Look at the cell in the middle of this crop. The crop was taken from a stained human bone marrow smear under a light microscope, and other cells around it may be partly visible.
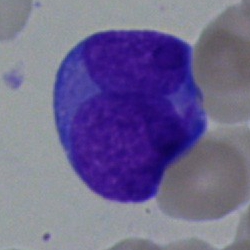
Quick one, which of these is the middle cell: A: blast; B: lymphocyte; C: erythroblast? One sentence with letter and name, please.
Option A correctly states that the central cell is a blast.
